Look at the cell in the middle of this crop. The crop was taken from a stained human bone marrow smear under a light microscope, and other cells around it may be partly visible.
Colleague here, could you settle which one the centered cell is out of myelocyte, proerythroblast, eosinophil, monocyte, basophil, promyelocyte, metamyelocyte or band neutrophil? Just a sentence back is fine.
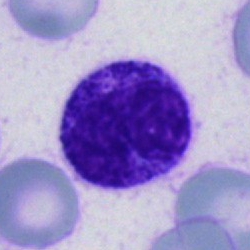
Here the centrally located cell is a basophil.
